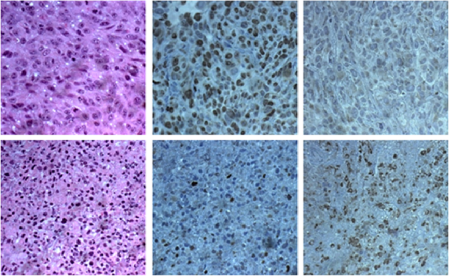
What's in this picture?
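Six small fields of a densely cellular tumor are set in two rows of three. The tumor cells lie packed in solid sheets without glands or other clear architecture, and their nuclei are ovoid to irregular. In the upper middle field many nuclei are stained brown while the lower middle field has few, and in the right column the lower field holds many scattered brown cells where the upper has hardly any.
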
